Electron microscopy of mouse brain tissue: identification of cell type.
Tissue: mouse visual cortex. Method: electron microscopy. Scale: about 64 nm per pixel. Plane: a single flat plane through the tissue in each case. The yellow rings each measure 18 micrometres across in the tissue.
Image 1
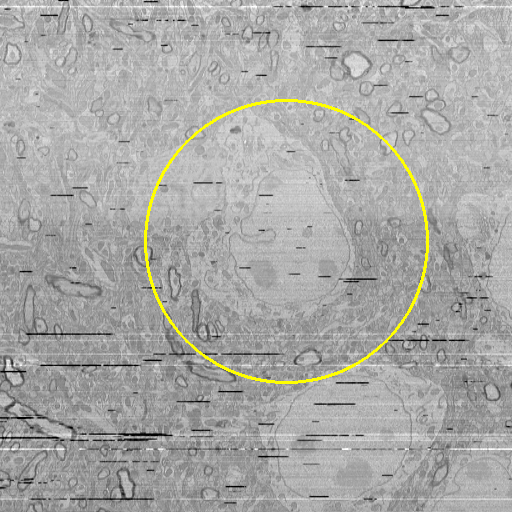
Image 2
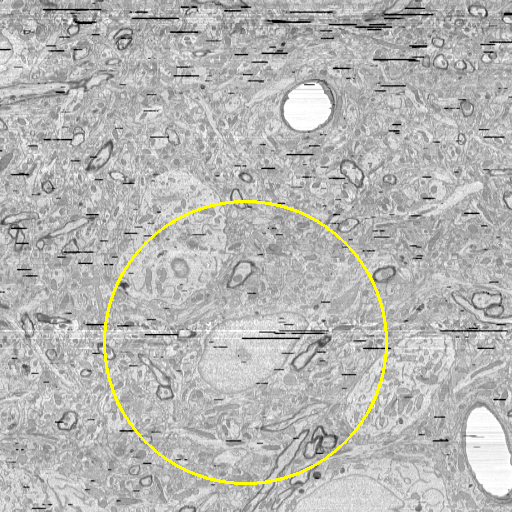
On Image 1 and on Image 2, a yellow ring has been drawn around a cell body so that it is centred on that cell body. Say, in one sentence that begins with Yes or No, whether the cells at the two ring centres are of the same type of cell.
No, the two cells are two separate types of cell.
